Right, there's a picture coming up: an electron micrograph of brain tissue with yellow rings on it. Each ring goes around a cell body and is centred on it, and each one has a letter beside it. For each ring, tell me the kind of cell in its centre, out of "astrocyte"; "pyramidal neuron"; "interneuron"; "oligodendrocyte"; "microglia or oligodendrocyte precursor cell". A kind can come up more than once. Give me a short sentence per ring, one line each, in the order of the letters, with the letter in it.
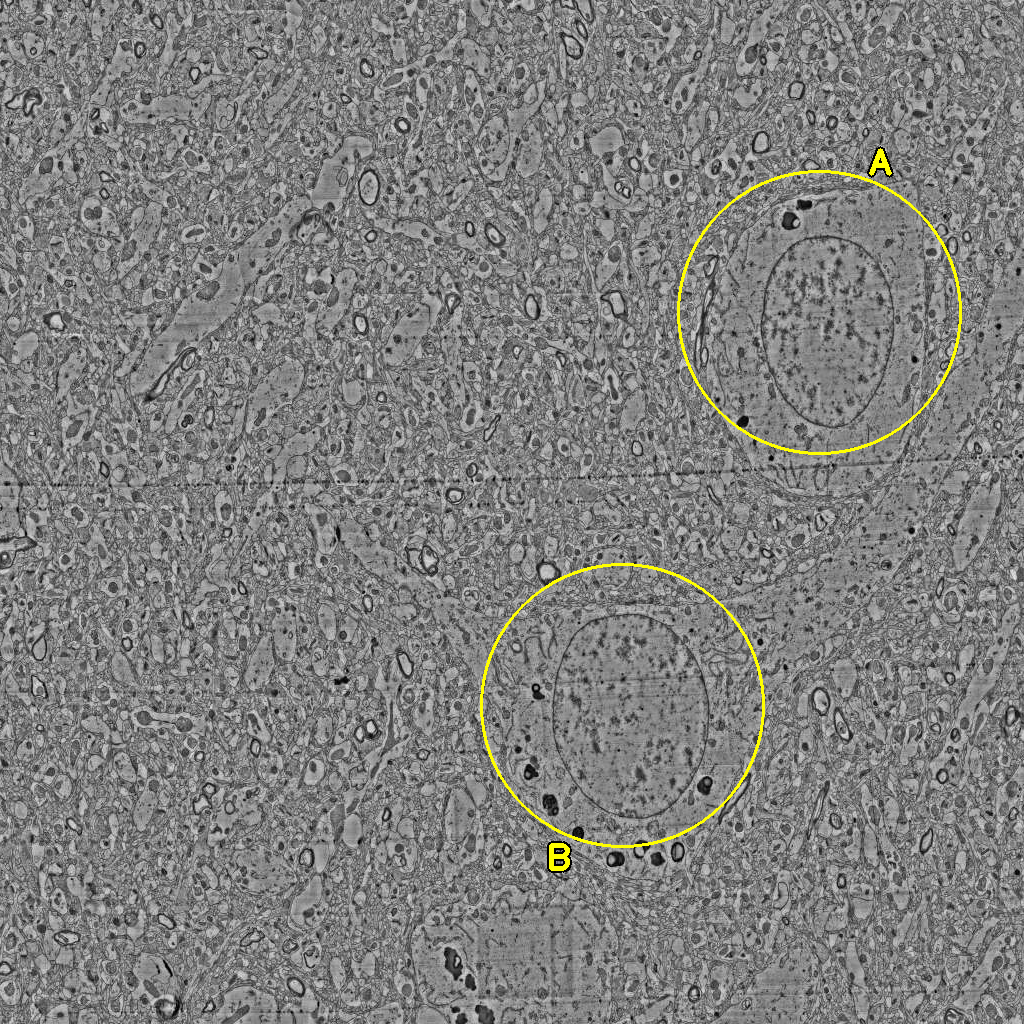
That's a pyramidal neuron in ring A.
That's a pyramidal neuron in ring B.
